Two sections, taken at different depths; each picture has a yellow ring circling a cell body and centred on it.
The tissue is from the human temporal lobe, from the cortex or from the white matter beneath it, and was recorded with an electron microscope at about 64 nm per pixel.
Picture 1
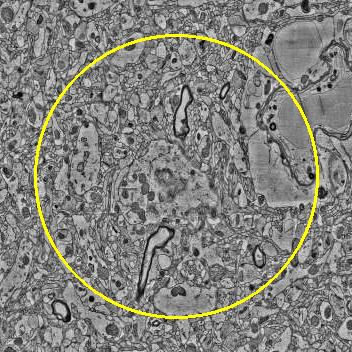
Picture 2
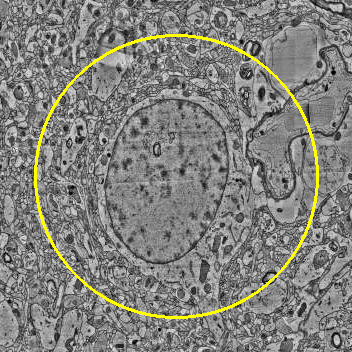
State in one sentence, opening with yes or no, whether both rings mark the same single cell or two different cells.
Yes, both yellow rings mark one and the same cell.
